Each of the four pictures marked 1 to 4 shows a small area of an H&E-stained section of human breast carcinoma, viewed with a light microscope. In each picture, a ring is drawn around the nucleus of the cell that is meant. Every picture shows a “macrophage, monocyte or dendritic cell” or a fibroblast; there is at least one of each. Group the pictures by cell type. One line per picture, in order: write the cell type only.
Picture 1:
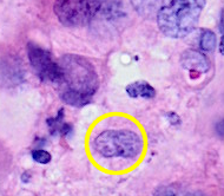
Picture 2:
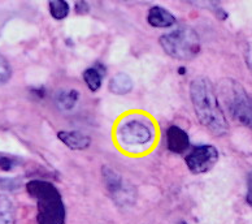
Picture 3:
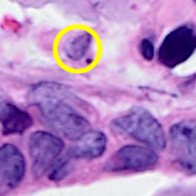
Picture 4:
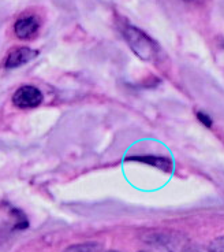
macrophage, monocyte or dendritic cell
macrophage, monocyte or dendritic cell
macrophage, monocyte or dendritic cell
fibroblast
